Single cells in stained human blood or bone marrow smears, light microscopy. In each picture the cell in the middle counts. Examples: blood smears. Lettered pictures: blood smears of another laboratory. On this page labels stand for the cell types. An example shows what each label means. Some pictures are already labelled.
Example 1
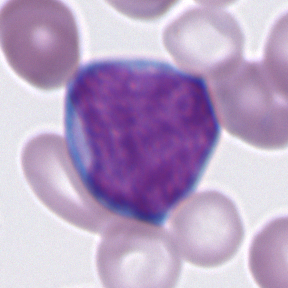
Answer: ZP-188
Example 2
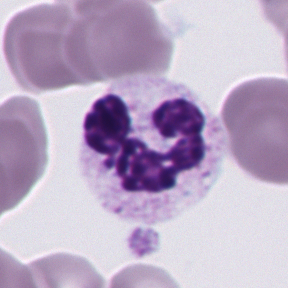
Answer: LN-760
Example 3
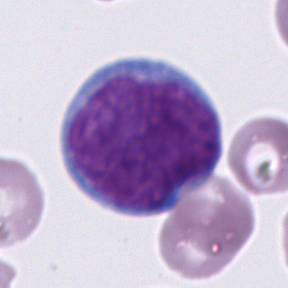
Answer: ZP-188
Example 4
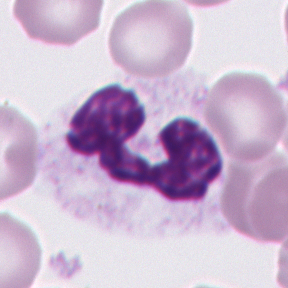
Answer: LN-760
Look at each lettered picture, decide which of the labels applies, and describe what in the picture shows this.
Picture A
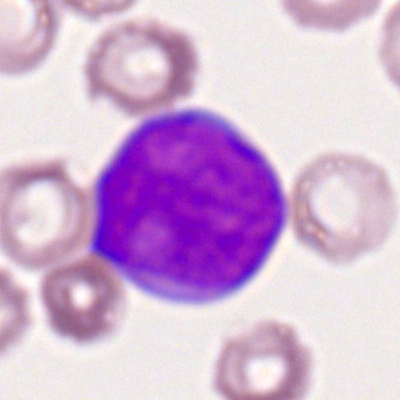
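ZP-188. The cytoplasm is only a very thin deep-blue rim, best seen along the left and lower edge.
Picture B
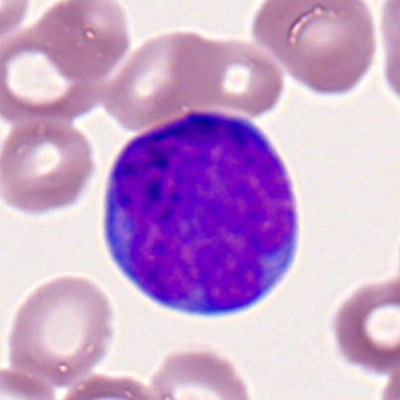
ZP-188. The nucleus fills almost the whole cell.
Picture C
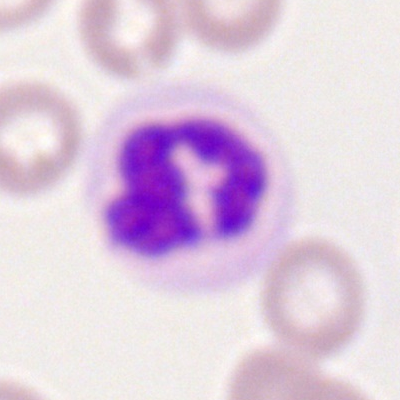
LN-760. The nucleus is lobed, with a pale cleft running through its middle.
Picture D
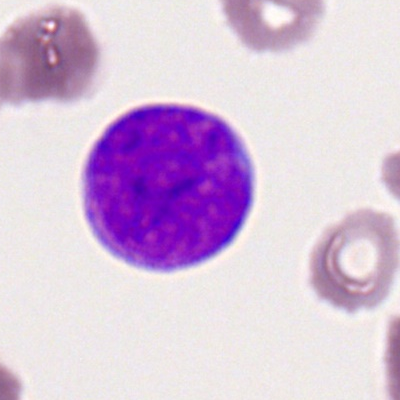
ZP-188. The nucleus fills almost the whole cell.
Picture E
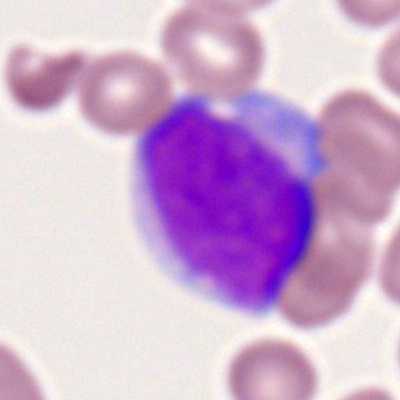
ZP-188. The nucleus fills most of the cell.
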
